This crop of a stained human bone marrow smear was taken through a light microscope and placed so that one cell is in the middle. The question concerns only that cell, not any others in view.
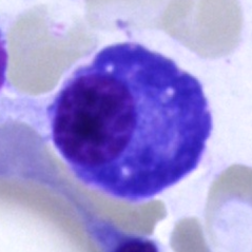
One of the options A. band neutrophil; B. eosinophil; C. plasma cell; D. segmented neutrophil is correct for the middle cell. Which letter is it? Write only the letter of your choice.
C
